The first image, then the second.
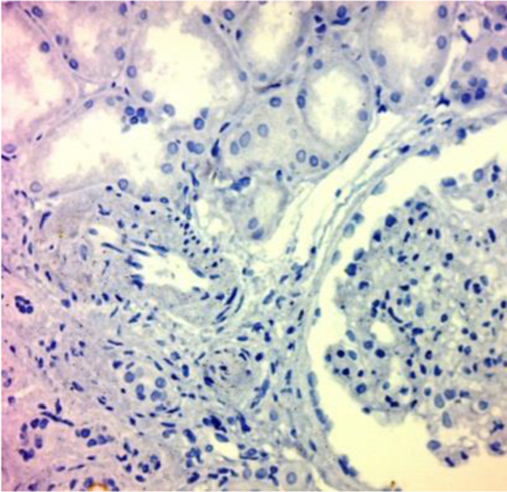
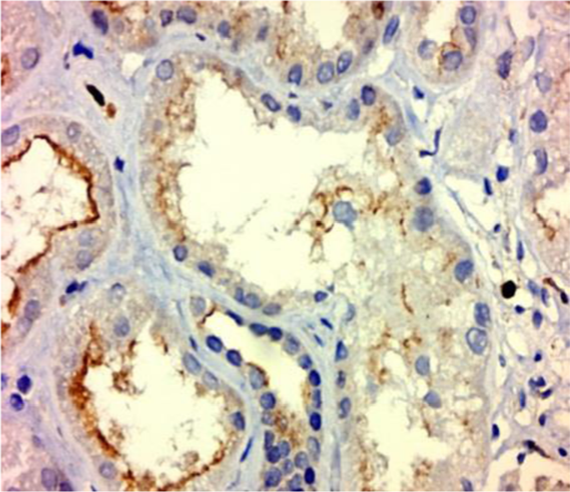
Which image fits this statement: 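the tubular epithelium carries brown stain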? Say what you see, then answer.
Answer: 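Second image: brown granular stain along the luminal edge of several tubules. First image: tubules are blue only, with no brown.
Hence: the second image.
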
